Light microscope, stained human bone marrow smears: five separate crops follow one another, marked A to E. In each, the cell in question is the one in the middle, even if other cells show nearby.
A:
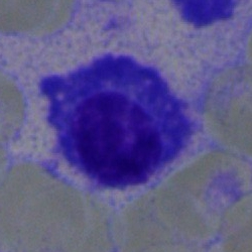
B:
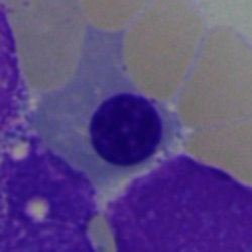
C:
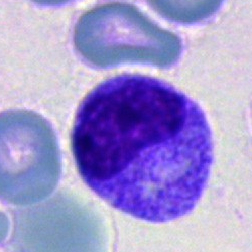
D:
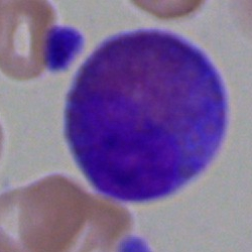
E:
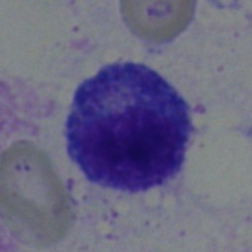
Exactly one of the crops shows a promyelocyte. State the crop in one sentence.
The crop with a promyelocyte at its center is crop E.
